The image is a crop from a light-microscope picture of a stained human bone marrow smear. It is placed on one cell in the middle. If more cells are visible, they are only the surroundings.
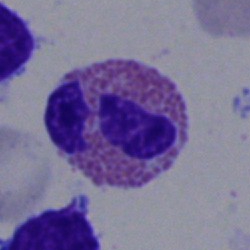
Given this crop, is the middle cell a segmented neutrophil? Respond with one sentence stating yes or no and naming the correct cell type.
No, the middle cell is not a segmented neutrophil, it being an eosinophil.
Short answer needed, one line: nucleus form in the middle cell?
One defining trait here is a nucleus of two or more segments.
